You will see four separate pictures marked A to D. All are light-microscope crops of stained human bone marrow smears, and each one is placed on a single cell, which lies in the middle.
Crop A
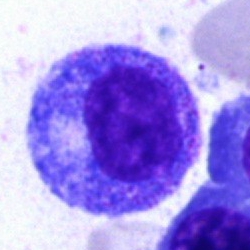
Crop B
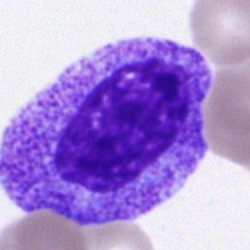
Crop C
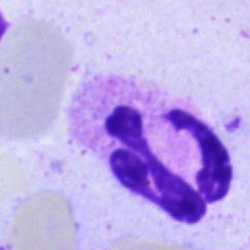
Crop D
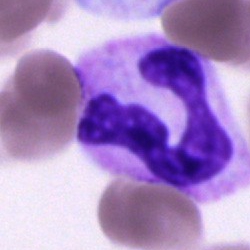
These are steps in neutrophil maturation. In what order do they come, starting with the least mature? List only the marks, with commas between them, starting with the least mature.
A, B, D, C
